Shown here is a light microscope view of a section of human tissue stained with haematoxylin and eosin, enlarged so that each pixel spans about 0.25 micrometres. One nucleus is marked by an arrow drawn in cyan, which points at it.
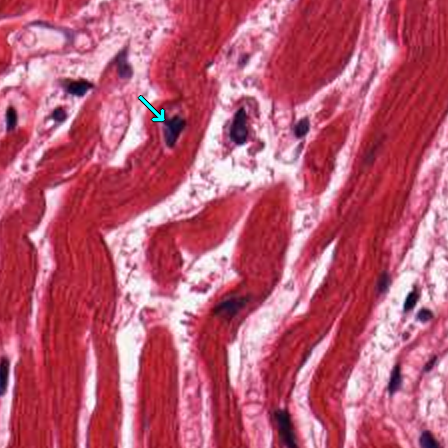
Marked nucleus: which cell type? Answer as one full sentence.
In this section, the marked nucleus is that of a cardiomyocyte.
